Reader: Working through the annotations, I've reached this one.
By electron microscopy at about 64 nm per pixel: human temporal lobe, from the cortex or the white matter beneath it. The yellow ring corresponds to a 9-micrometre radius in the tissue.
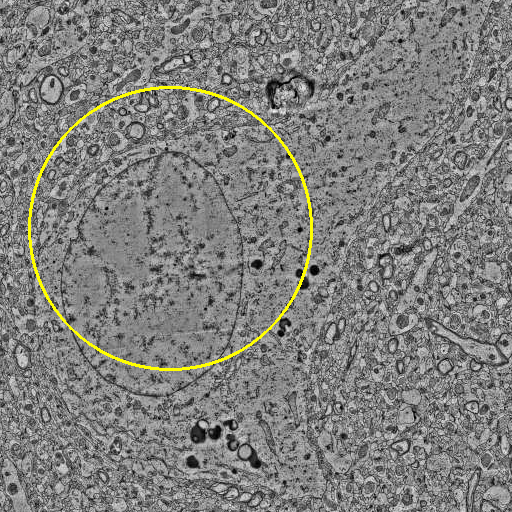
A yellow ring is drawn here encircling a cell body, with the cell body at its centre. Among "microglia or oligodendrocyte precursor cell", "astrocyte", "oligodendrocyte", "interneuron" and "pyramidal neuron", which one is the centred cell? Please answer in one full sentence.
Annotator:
The cell body at the centre of the yellow ring in this image belongs to a pyramidal neuron.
